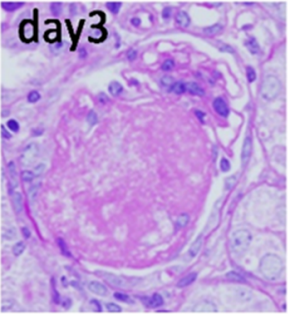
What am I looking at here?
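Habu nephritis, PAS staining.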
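This is a kidney glomerulus in which most of the tuft has been replaced by a rounded mass of pale pink, finely granular material with hardly any cells in it. Only a few dark nuclei remain along the upper edge of the tuft, next to the capsule. Normal capillary loops with thin pink walls can no longer be made out in the mass. Tubules with cuboidal cells surround the glomerulus.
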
